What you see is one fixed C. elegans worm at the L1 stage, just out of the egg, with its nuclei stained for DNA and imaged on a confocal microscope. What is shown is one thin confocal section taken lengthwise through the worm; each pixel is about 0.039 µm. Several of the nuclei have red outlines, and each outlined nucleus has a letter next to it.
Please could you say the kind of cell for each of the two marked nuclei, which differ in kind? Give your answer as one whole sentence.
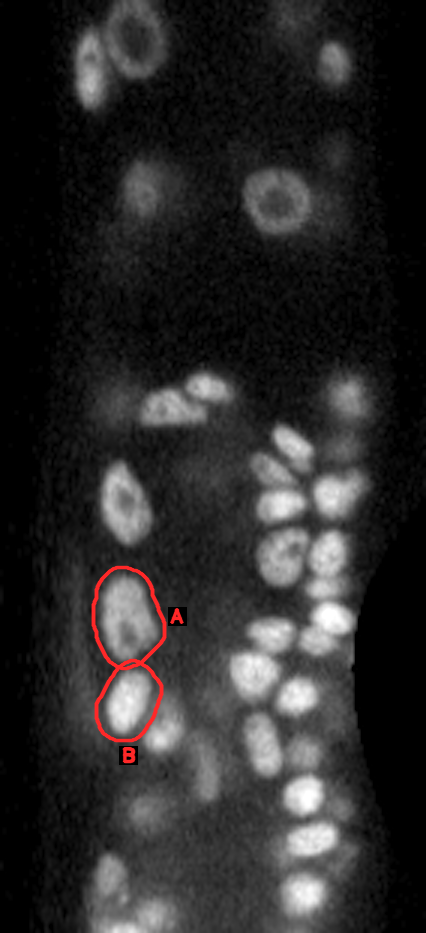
A is from a pharyngeal muscle cell, and B is from a neuron.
